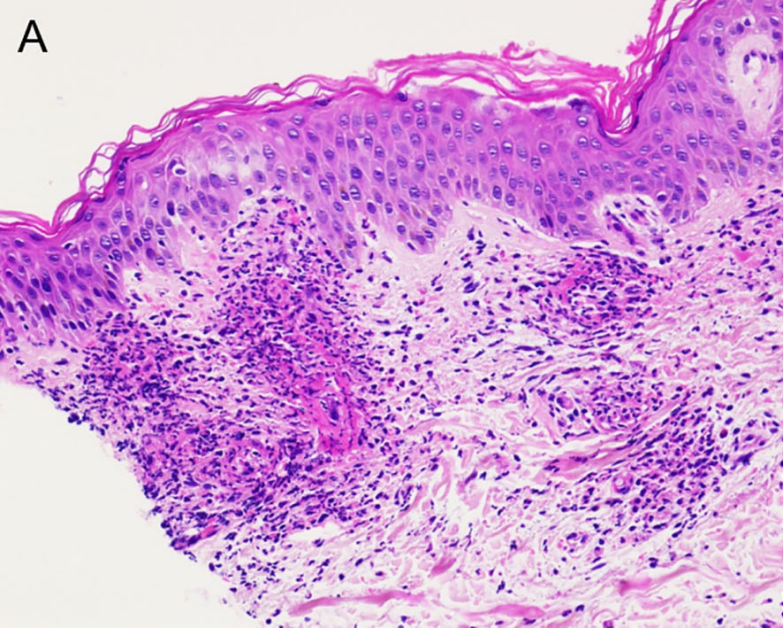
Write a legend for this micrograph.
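This is skin. At the top lies the epidermis, a stratified squamous epithelium with pale pink cells, round nuclei and a thin, wavy pink layer of keratin on its surface. Beneath it the dermis is loose pink connective tissue. Within the dermis a dense crowd of small, dark purple nuclei clusters tightly around the small blood vessels, forming cuffs that are densest around vessels with thick, bright pink walls. Between these clusters the connective tissue is paler, looser and looks oedematous, with scattered inflammatory cells strewn through it.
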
